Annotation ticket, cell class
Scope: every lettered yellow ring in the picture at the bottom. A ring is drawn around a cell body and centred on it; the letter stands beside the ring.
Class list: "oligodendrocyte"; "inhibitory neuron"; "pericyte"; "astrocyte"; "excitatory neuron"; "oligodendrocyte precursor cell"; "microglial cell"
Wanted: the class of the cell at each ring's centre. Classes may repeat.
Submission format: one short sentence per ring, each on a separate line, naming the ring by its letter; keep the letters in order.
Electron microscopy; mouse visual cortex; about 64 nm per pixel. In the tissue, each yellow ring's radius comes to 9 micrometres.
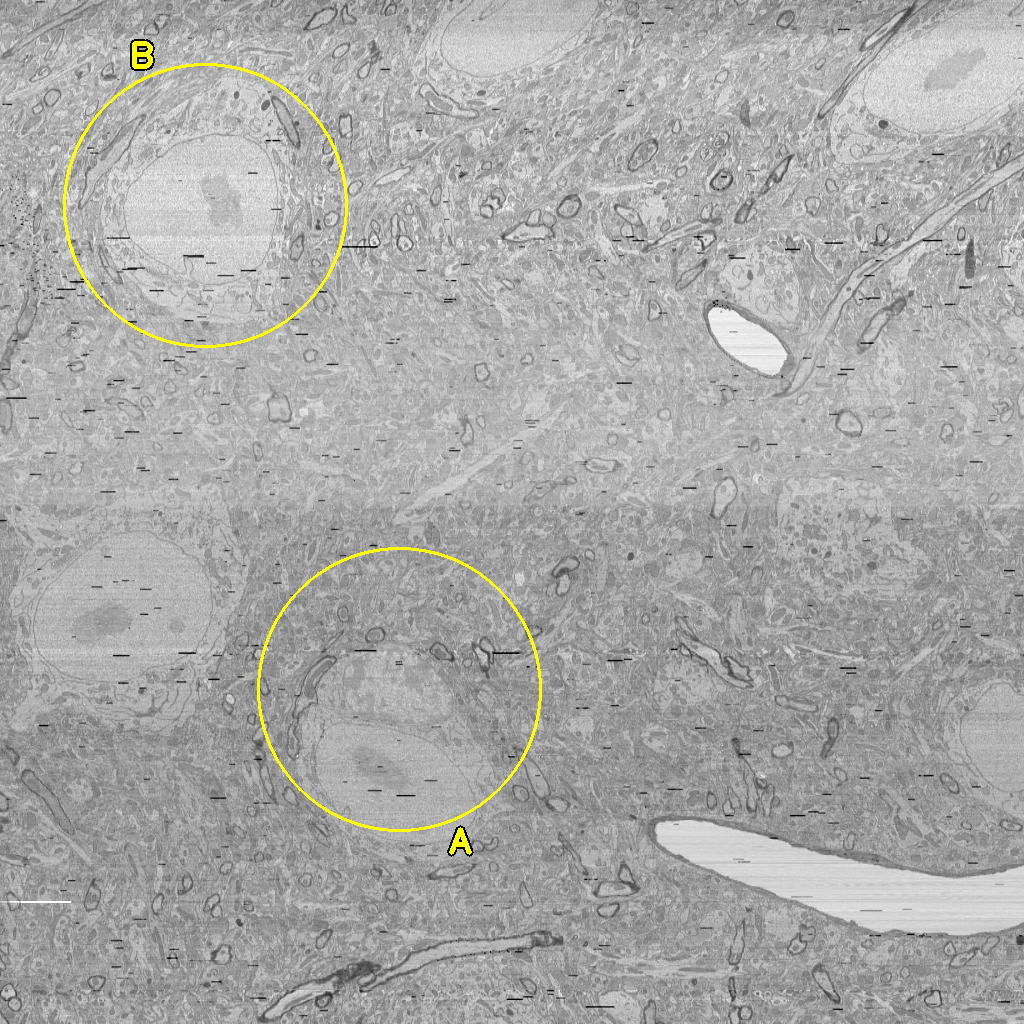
The centre of ring A is occupied by an oligodendrocyte.
The centre of ring B is occupied by an excitatory neuron.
